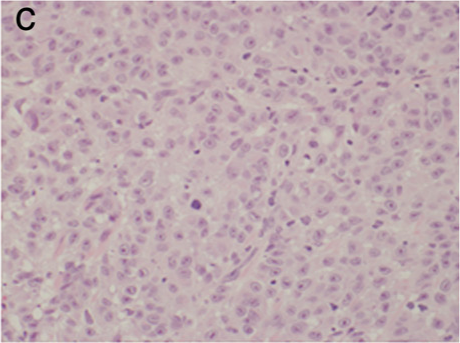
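Seen at high power is a solid sheet of large cells with no glands or obvious organization. The cells are polygonal with abundant pale pink cytoplasm and fairly distinct borders. Their nuclei are round to oval, vesicular and vary in size, and many hold a conspicuous dark nucleolus. A few thin spindle-shaped nuclei run between the cells, likely from delicate stroma, and at least one darker, dense nucleus stands out. Together these features describe a malignant tumor of large epithelioid cells with atypical nuclei and prominent nucleoli.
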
